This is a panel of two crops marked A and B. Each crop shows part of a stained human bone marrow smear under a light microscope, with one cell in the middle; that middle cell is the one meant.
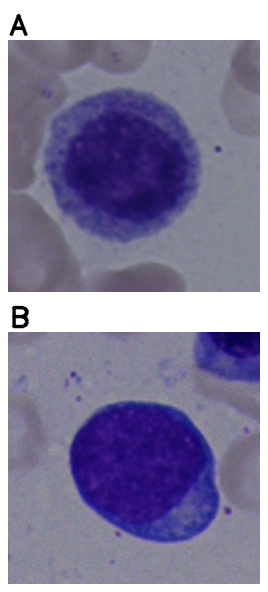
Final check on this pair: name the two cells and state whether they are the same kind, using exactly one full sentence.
No, a myelocyte is the subject of crop A, and a blast is the subject of crop B.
